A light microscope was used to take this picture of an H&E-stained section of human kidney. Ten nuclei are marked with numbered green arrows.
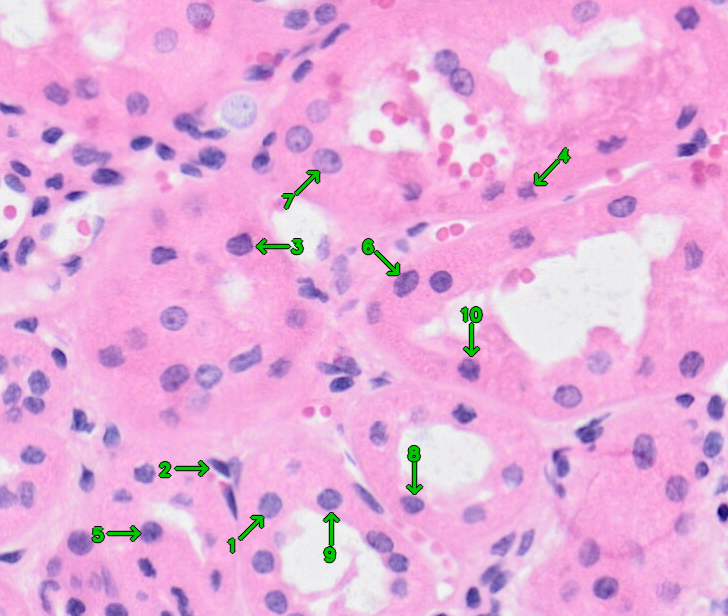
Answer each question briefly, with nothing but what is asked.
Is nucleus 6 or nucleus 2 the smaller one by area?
2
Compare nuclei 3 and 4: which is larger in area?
3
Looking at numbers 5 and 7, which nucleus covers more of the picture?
7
